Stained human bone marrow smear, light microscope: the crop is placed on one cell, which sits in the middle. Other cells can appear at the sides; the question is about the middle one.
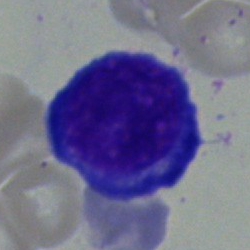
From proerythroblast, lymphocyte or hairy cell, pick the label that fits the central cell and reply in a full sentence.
On this slide crop, the central cell is a proerythroblast.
